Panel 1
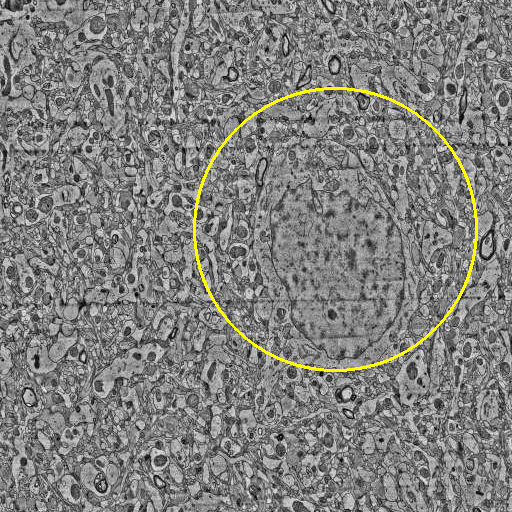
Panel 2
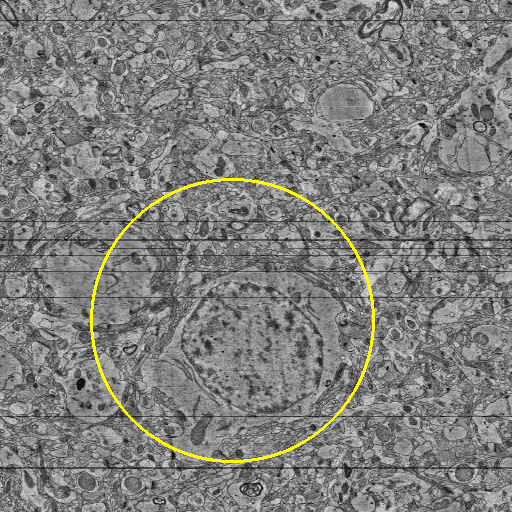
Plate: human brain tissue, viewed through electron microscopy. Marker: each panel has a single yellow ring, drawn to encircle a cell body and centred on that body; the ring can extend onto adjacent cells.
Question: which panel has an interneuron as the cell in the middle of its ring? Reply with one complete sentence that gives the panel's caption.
Panel 1 is where the requested cell sits at the centre of the ring.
